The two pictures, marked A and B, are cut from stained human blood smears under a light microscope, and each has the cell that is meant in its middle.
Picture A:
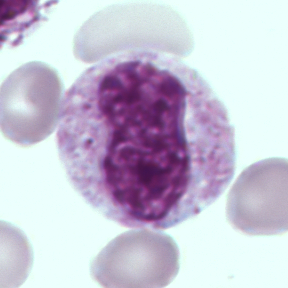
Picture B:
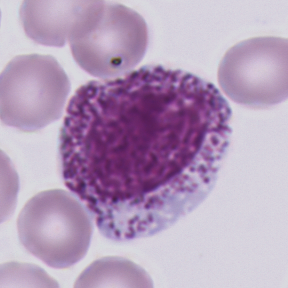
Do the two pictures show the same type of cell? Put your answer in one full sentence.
No; the cell in picture A is a metamyelocyte, while the one in picture B is a myelocyte.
